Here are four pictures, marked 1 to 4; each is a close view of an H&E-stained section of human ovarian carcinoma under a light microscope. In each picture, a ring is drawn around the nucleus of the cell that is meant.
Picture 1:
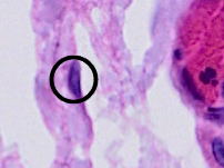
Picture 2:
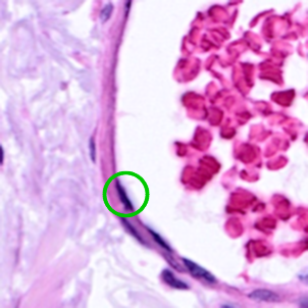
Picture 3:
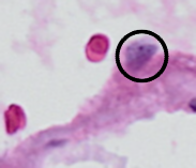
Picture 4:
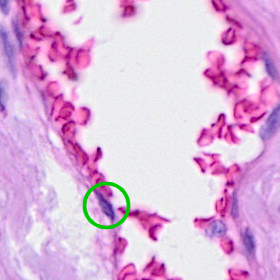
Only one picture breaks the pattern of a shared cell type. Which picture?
1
